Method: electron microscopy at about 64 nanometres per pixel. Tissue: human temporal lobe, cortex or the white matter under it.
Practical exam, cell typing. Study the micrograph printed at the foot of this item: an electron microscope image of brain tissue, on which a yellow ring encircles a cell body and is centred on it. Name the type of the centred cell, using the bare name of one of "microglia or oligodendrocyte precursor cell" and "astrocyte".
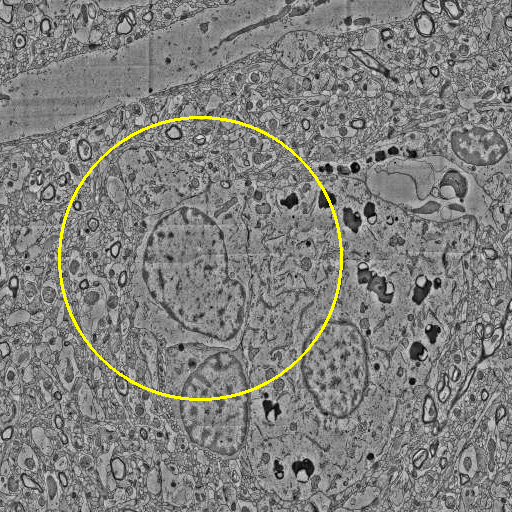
microglia or oligodendrocyte precursor cell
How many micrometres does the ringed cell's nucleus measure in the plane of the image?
About 9 micrometres by about 6 micrometres in this plane.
